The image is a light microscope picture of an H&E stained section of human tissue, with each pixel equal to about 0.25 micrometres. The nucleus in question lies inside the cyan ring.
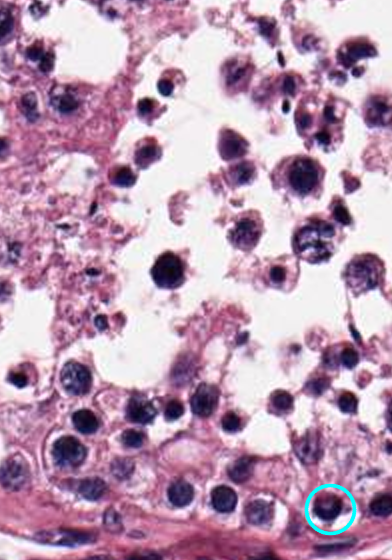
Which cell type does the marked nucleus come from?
spermatogonium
